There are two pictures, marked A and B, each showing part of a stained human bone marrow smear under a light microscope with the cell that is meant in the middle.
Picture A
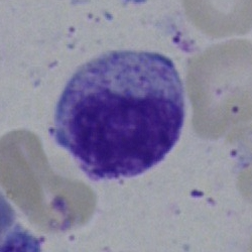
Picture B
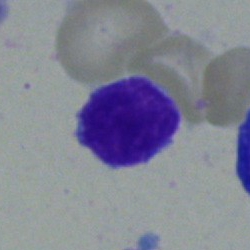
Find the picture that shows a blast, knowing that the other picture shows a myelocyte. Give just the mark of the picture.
B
